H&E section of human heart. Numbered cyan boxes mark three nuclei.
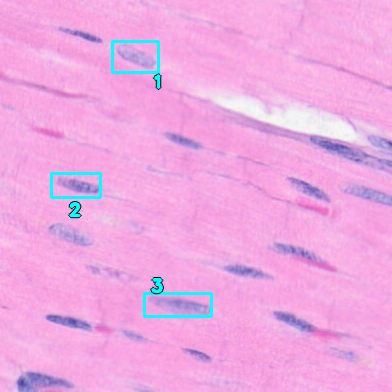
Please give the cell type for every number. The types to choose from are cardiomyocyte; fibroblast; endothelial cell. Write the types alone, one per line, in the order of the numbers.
cardiomyocyte
endothelial cell
cardiomyocyte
